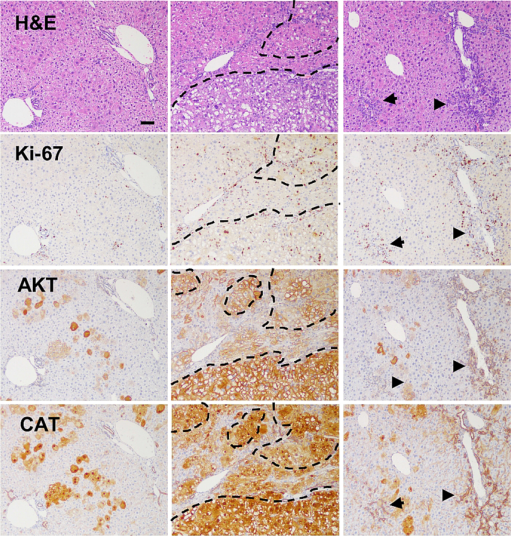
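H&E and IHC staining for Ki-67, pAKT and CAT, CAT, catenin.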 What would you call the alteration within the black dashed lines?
Tumour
